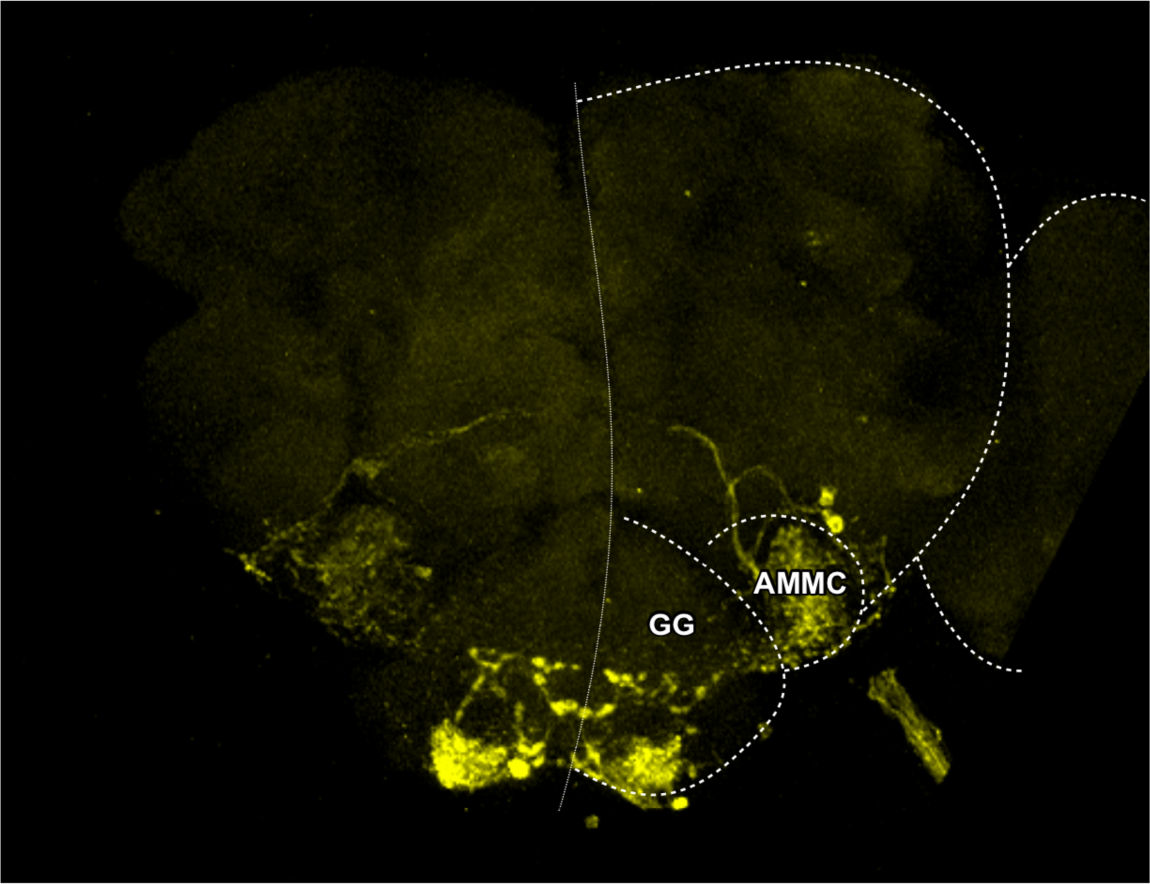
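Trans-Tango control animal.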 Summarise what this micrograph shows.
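A dim yellow background shows the lobed neuropil of a brain, with bright yellow labelling concentrated low near the midline and in a rounded region at the lower right. Small round bright cell bodies sit beside these regions and thin beaded fibers wind from them through the tissue. These are labelled neurons with their processes filling neuropils in the lower part of the brain.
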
